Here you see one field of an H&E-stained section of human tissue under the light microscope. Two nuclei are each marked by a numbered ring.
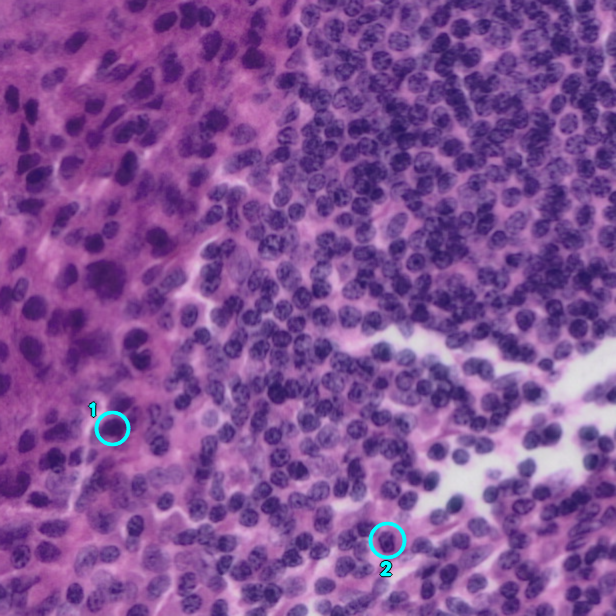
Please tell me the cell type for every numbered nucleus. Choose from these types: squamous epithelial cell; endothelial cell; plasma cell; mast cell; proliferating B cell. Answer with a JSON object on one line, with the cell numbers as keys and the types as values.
{"1": "squamous epithelial cell", "2": "plasma cell"}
